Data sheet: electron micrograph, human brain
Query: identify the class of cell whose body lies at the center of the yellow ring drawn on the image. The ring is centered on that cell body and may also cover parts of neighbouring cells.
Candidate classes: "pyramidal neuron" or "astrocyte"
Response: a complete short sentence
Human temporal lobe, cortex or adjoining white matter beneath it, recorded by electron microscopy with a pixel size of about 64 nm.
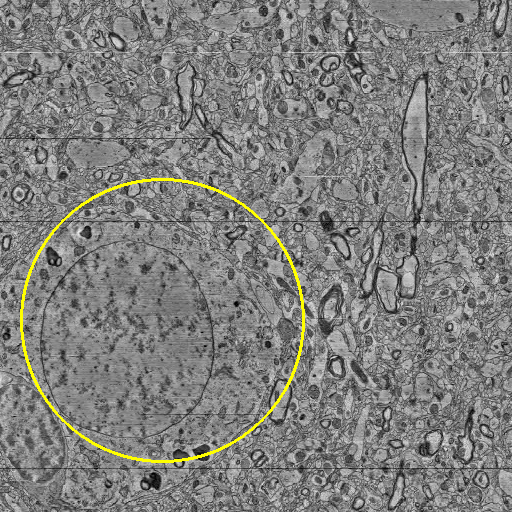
At the center of the ring lies a pyramidal neuron.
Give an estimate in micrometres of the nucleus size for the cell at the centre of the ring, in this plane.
The nucleus comes to roughly 14 by 12 micrometres in this plane.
